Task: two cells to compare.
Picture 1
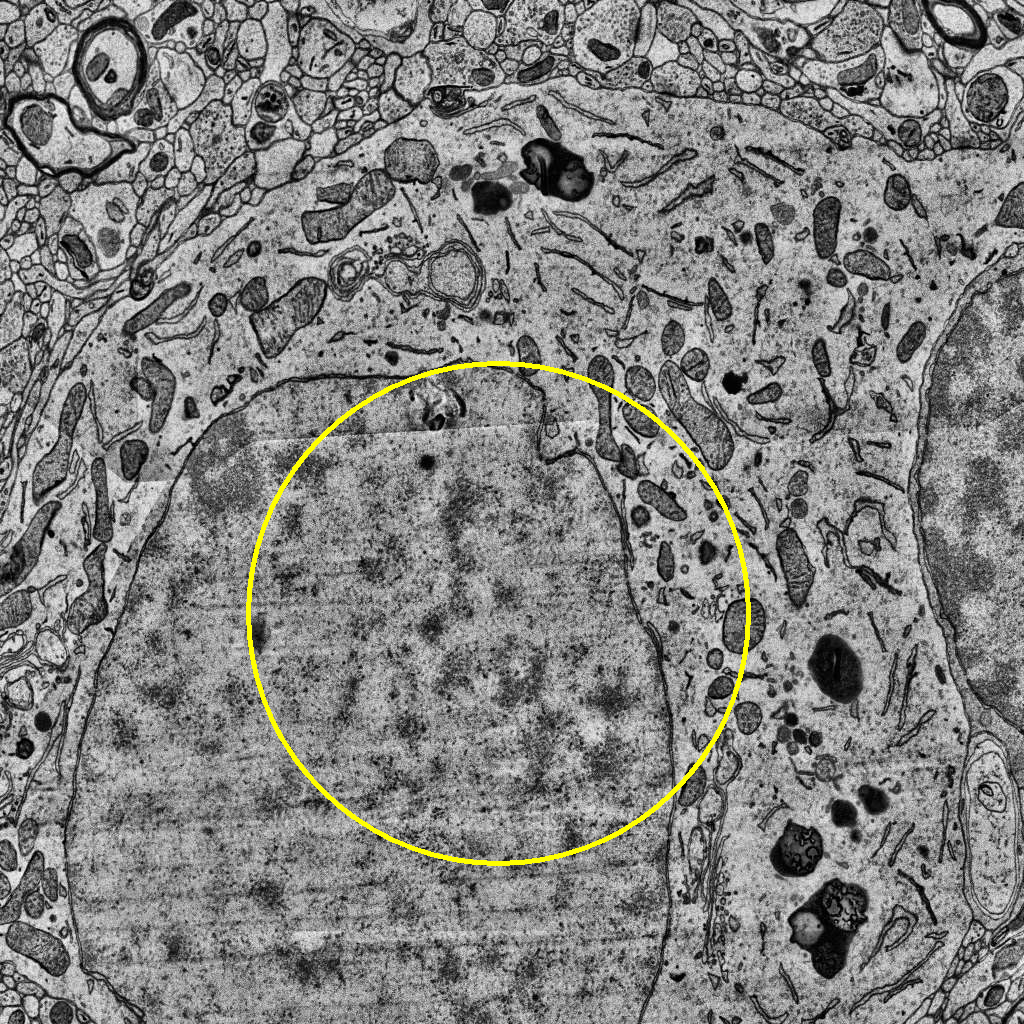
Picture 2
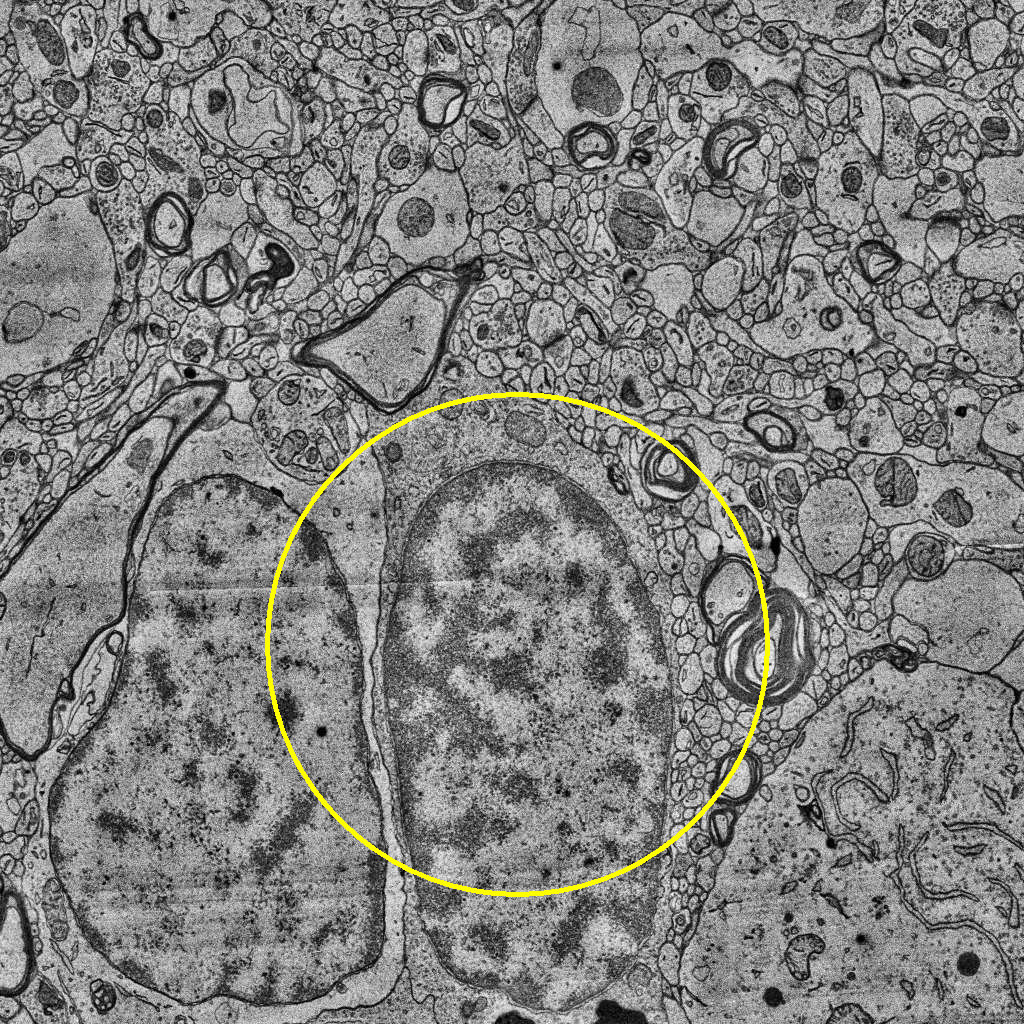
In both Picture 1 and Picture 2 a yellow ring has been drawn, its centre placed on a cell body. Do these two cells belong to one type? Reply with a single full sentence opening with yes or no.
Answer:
No, the two cells at the ring centres in Picture 1 and Picture 2 are of two types.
